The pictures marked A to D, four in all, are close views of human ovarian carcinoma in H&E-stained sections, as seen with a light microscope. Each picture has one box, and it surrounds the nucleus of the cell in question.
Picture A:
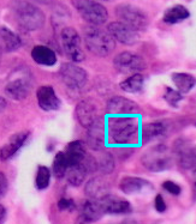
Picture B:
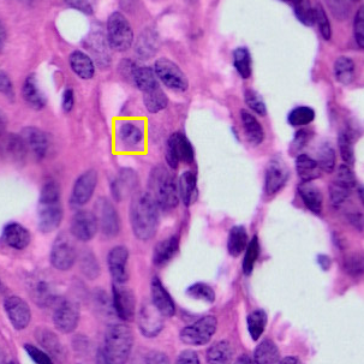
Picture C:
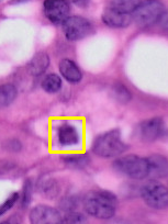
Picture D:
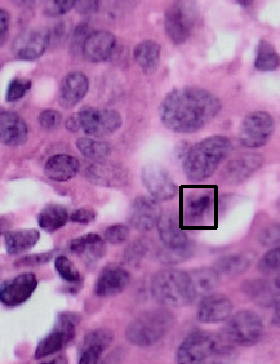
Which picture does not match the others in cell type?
B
